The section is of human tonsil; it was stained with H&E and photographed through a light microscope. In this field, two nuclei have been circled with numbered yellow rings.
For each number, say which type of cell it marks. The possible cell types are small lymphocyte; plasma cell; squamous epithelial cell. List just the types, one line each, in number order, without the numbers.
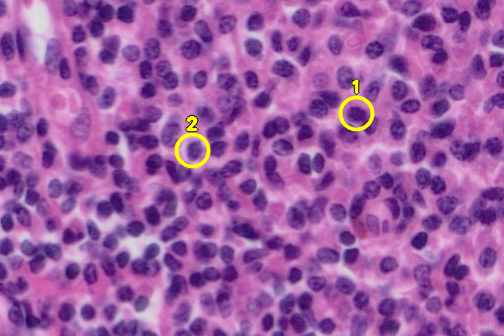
plasma cell
small lymphocyte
